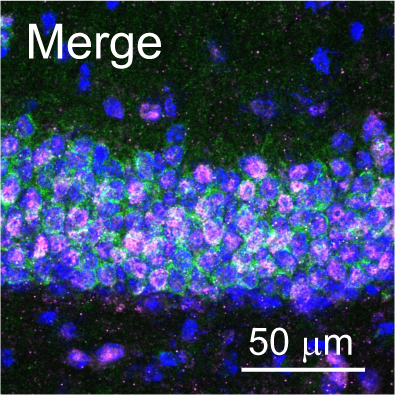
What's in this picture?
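A densely packed granule cell layer of the dentate gyrus runs horizontally across the field, made of small round neuronal cell bodies stacked many deep. Green outlines the border of each cell body, giving a honeycomb pattern, while magenta fills most of the nuclei and overlaps the blue nuclear stain. Above the layer lies the cell-sparse molecular layer with only scattered nuclei, and below it the hilus holds scattered nuclei, some of them magenta.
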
